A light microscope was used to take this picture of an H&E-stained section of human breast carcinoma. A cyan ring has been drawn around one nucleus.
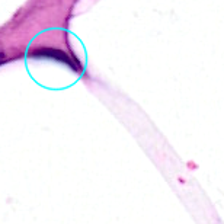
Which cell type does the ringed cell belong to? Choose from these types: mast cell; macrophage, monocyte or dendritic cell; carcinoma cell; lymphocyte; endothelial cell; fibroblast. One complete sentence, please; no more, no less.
It is as an endothelial cell that the ringed cell is classified.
